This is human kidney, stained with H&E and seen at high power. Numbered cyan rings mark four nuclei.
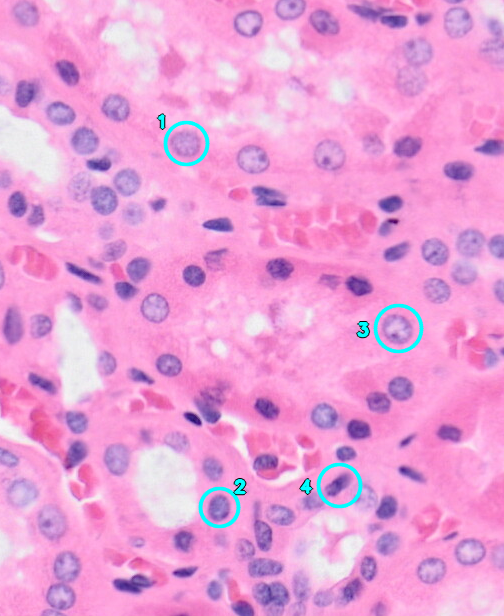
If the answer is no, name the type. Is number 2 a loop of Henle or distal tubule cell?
Yes.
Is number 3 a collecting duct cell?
No, it is a proximal tubule cell.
